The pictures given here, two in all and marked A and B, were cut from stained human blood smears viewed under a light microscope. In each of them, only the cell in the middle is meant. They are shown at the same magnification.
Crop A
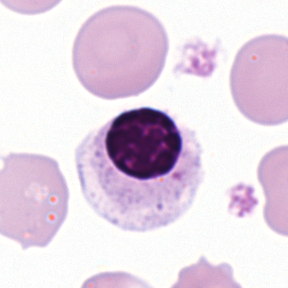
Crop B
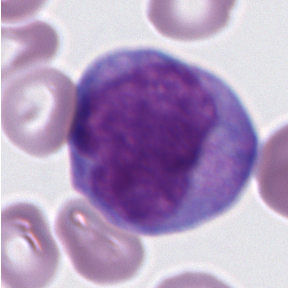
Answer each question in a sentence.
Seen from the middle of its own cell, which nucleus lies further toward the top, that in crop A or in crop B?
In crop A the nucleus is shifted more toward the top.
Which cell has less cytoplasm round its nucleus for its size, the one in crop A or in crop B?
Of the two, the nucleus in crop B makes up the greater part of its cell.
